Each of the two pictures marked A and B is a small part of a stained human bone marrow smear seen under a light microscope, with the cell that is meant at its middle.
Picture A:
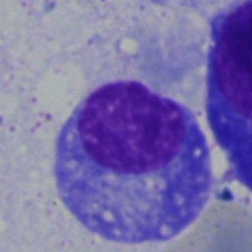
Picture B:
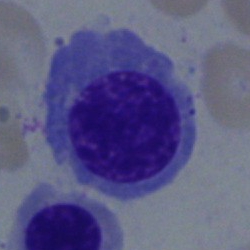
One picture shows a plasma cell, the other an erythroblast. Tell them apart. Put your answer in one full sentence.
Picture B shows an erythroblast, while picture A shows a plasma cell.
